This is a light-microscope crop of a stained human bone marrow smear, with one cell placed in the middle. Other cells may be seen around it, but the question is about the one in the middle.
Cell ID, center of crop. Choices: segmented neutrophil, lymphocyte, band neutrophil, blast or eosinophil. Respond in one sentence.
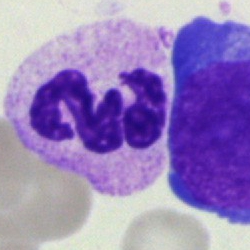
Of the cells in this crop, the central one is a segmented neutrophil.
